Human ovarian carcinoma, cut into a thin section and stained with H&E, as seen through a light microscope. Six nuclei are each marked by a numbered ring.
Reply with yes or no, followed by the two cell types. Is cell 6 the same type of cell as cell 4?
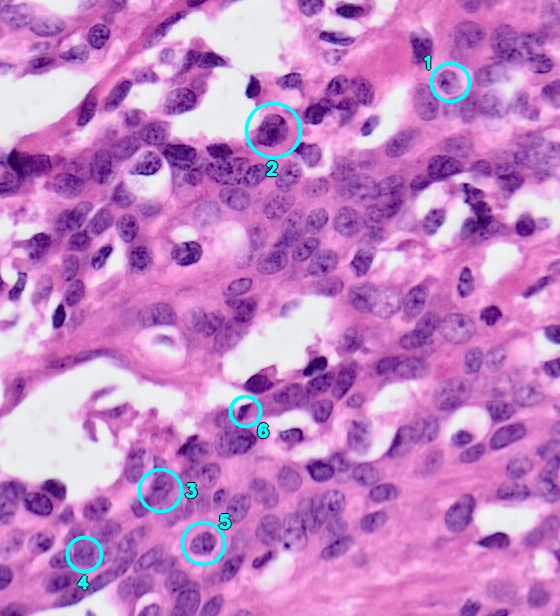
Yes, both are carcinoma cells.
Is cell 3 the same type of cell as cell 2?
Yes, both are carcinoma cells.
